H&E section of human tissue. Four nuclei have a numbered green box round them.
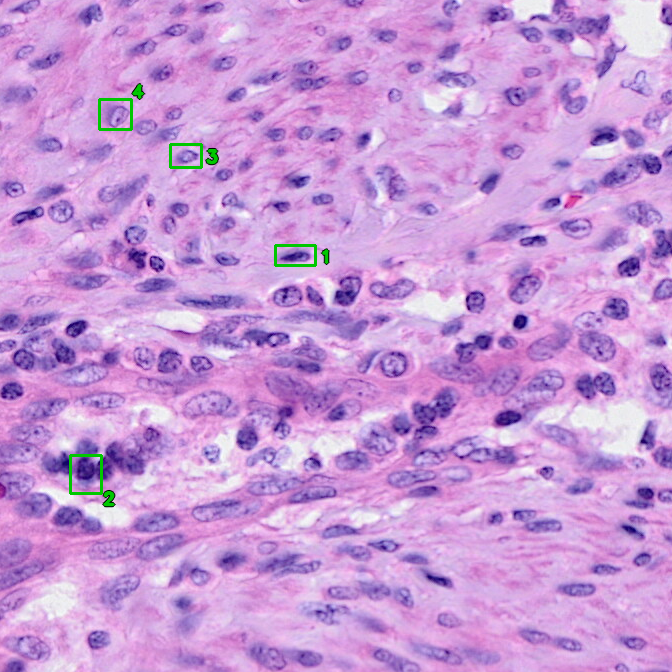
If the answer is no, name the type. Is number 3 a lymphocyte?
No, it is a smooth muscle cell.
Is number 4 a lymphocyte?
No, it is a smooth muscle cell.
